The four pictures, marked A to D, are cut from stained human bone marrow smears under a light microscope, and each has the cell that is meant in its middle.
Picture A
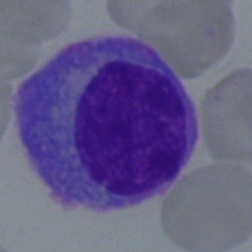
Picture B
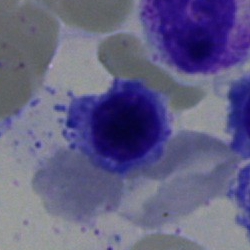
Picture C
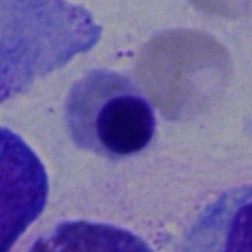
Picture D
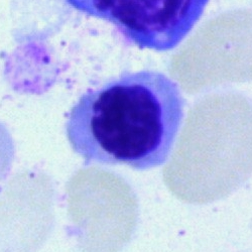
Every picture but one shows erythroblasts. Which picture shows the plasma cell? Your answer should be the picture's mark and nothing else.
A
